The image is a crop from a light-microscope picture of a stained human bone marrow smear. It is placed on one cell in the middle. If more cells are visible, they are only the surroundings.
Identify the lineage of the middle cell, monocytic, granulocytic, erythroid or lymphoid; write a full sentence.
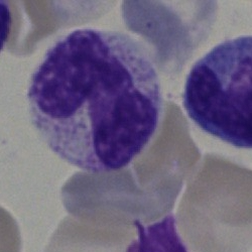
The cell sitting in the middle of this crop is of the granulocytic line.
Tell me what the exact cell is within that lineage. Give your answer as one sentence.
Classification of the middle cell gives a band neutrophil.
